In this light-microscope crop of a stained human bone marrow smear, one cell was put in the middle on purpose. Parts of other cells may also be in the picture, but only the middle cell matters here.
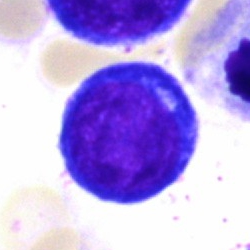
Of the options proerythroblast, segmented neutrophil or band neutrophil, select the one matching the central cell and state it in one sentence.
In the center of this field lies a proerythroblast.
